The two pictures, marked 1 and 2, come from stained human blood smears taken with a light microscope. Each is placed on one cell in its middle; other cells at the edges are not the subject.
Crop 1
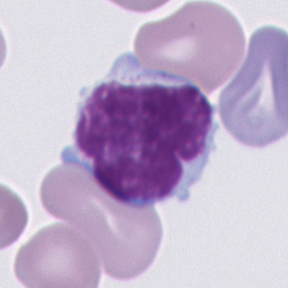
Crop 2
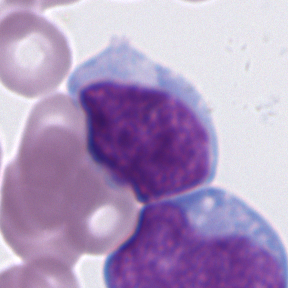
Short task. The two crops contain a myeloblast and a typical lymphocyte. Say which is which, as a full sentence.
In this set, crop 1 shows a typical lymphocyte and crop 2 shows a myeloblast.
